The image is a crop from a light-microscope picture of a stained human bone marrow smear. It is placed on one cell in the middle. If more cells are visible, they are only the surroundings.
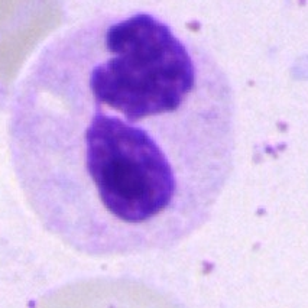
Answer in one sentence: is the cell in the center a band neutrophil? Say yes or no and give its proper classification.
No, it isn't a band neutrophil; what sits in the middle is a segmented neutrophil.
